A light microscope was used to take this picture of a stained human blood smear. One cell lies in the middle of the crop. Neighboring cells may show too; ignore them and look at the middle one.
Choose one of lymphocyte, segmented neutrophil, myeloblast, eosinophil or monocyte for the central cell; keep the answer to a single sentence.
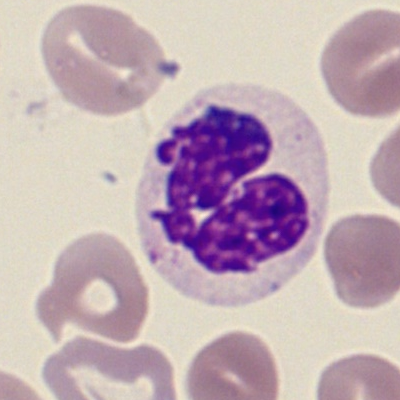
This particular crop is centered on a segmented neutrophil.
